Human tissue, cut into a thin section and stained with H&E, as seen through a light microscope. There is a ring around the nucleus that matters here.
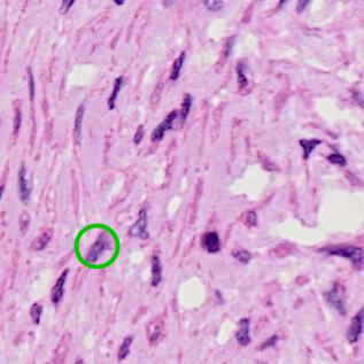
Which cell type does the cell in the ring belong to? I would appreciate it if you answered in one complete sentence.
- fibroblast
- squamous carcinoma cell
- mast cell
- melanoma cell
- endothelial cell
The expected answer is simply that the cell in the ring is a fibroblast.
